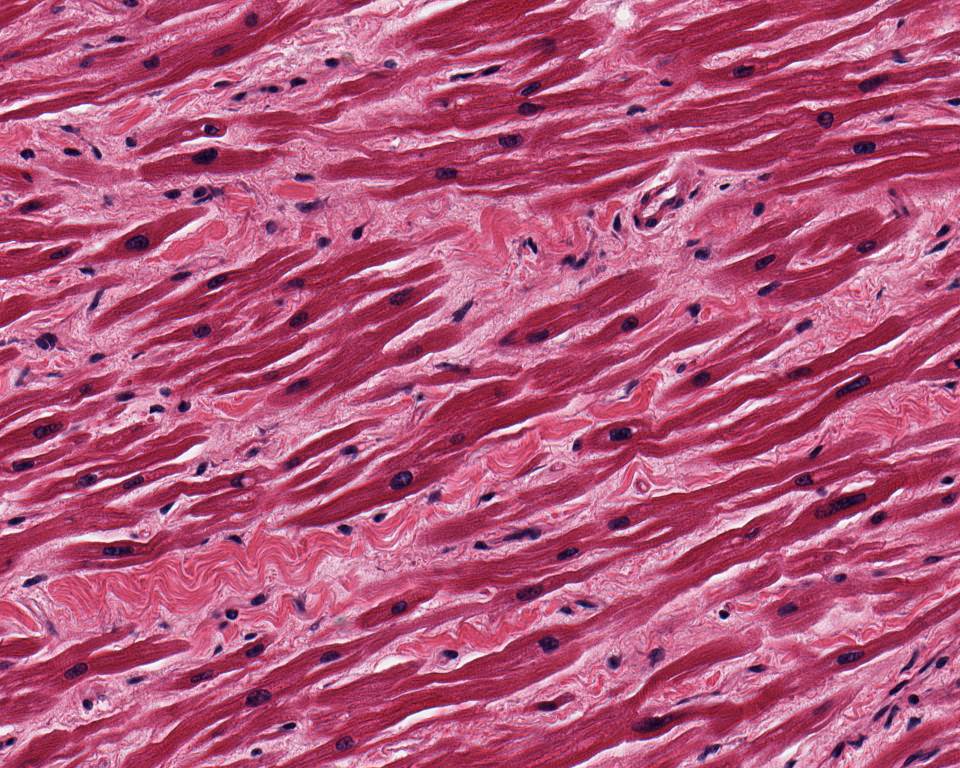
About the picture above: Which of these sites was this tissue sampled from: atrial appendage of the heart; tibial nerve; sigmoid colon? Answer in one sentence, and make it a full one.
Tissue sampled from the atrial appendage of the heart forms this section.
